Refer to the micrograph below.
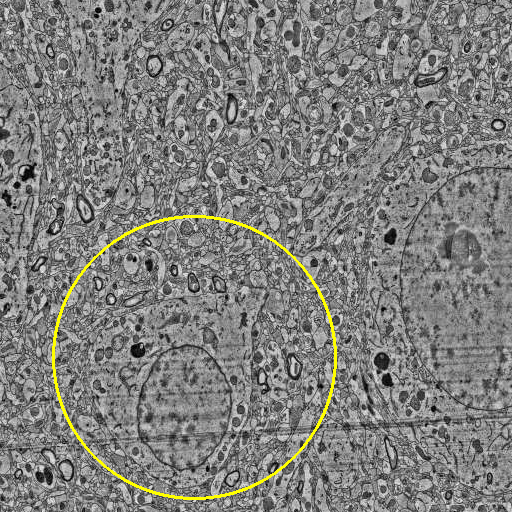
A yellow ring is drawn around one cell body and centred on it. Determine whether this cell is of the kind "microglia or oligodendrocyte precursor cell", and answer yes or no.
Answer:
no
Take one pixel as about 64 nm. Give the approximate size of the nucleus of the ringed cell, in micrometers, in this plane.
In this plane the nucleus measures roughly 8 by 6 micrometers.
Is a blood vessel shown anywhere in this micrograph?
No, no vessel shows anywhere in the image.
